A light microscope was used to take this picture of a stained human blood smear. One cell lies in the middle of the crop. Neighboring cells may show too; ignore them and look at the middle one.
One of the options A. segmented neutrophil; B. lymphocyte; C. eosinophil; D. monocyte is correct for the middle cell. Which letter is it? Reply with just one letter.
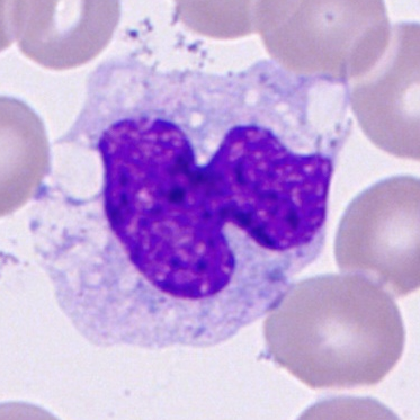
D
